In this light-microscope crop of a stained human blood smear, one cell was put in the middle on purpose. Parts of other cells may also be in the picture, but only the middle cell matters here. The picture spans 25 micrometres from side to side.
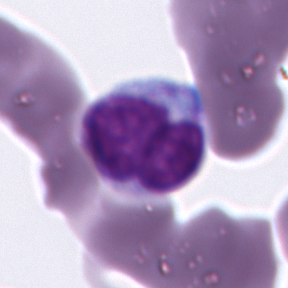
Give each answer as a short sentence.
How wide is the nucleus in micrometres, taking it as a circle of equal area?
The diameter of the nucleus comes to about 9 micrometres.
